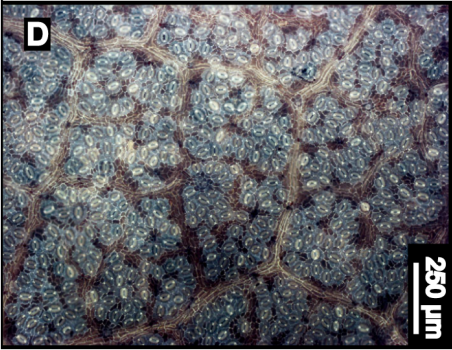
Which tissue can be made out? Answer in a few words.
cuticle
